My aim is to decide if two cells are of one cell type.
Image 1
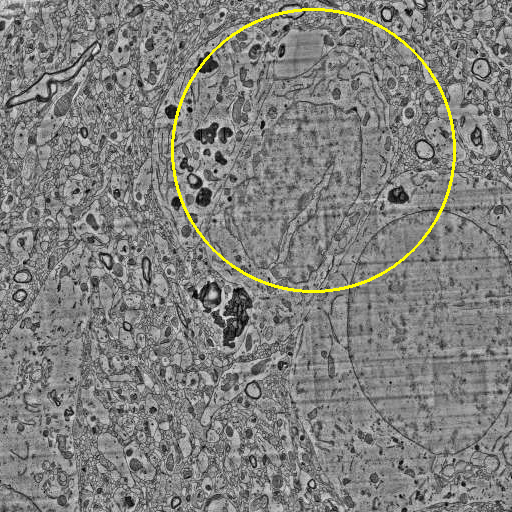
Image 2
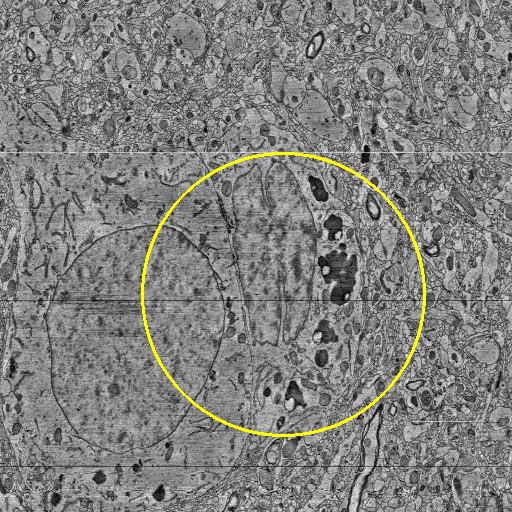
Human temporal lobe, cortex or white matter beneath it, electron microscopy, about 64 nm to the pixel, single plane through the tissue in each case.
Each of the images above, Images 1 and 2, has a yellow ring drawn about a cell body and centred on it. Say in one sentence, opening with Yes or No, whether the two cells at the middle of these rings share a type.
Yes, in Images 1 and 2 the cells at the middle of the rings share one type.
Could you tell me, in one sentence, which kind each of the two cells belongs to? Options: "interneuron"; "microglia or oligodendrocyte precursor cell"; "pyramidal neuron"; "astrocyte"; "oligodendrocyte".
Each of the two rings surrounds an interneuron.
